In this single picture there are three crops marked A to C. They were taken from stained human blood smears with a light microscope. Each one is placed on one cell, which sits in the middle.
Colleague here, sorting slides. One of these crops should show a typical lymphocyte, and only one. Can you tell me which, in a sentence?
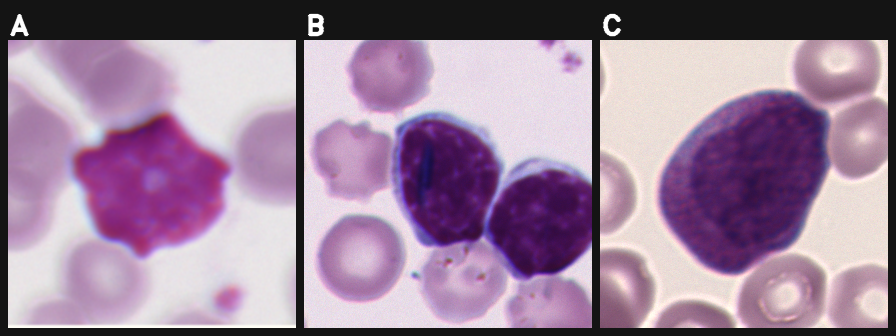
Crop B is the correct crop, and it shows a typical lymphocyte.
